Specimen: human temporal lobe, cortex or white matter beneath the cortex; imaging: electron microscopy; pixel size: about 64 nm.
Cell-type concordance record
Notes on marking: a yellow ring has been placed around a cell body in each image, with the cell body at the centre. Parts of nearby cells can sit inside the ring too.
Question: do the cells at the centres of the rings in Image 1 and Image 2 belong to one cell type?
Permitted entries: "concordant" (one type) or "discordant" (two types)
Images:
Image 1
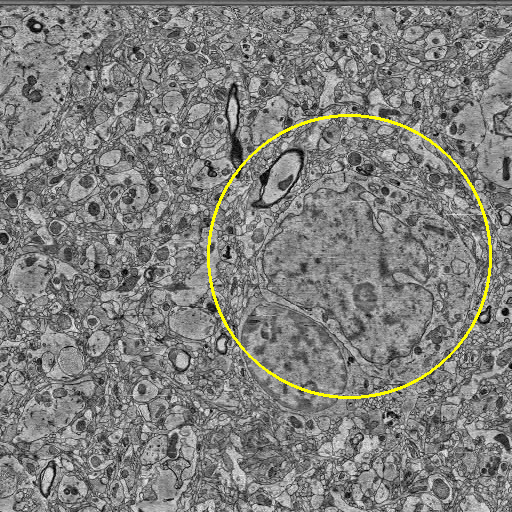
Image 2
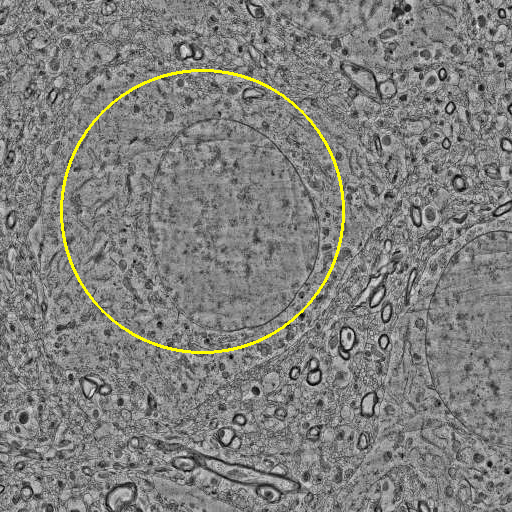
discordant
